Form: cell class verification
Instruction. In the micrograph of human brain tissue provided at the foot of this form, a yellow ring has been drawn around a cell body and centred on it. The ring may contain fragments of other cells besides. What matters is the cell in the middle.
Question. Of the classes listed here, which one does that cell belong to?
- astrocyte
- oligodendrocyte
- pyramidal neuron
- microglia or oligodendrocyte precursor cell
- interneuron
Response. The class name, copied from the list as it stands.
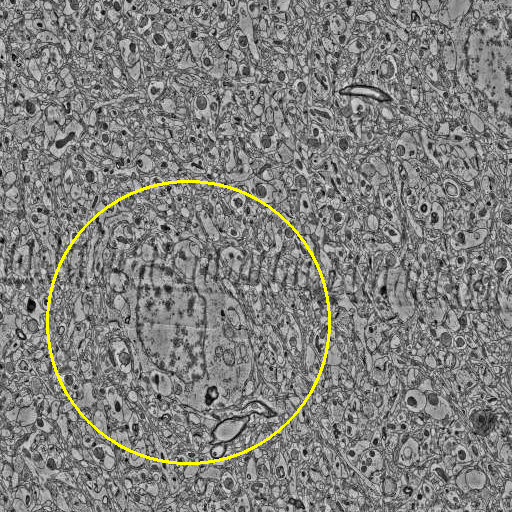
interneuron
